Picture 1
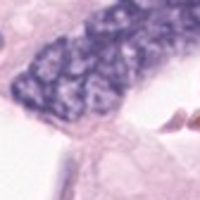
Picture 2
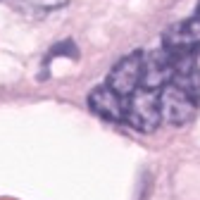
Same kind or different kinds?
Same: syncytial knots.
